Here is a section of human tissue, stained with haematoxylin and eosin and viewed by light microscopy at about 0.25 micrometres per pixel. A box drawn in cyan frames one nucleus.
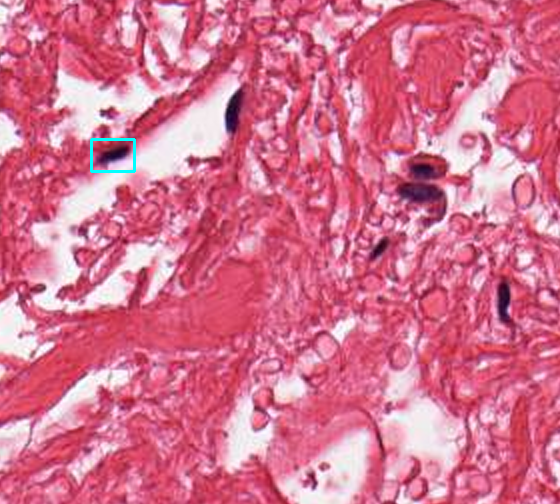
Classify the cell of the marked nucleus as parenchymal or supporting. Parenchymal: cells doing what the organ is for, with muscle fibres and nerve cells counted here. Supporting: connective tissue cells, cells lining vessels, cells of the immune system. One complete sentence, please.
Within this section, the marked nucleus belongs to a supporting cell.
